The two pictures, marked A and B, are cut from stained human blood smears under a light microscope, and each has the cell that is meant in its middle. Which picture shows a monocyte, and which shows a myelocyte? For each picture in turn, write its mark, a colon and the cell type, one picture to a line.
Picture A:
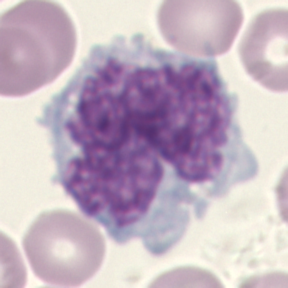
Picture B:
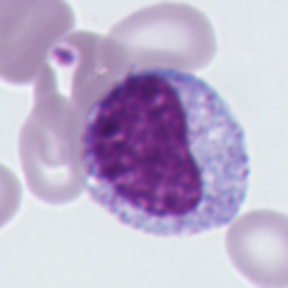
A: monocyte
B: myelocyte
